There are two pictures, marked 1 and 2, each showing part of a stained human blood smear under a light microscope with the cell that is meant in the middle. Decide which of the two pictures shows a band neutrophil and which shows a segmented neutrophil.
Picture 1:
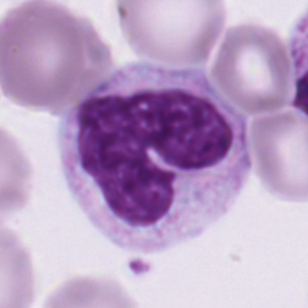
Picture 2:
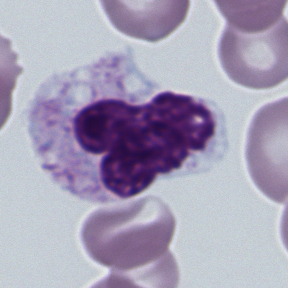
1: band neutrophil
2: segmented neutrophil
